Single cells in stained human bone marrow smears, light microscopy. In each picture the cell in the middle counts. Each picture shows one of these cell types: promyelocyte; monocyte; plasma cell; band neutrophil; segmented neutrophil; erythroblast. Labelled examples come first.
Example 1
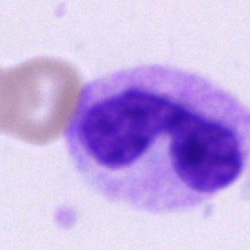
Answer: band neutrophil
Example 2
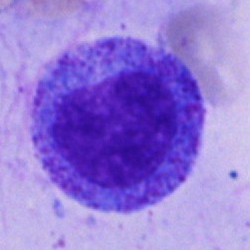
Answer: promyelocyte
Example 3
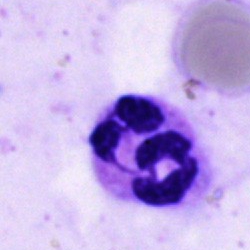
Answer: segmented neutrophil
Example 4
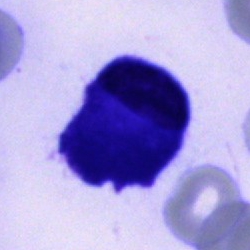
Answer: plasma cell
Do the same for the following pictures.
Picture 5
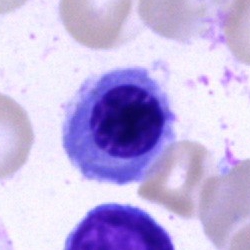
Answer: erythroblast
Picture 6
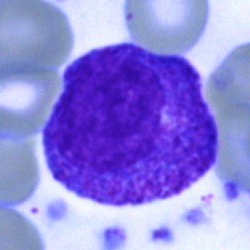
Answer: promyelocyte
